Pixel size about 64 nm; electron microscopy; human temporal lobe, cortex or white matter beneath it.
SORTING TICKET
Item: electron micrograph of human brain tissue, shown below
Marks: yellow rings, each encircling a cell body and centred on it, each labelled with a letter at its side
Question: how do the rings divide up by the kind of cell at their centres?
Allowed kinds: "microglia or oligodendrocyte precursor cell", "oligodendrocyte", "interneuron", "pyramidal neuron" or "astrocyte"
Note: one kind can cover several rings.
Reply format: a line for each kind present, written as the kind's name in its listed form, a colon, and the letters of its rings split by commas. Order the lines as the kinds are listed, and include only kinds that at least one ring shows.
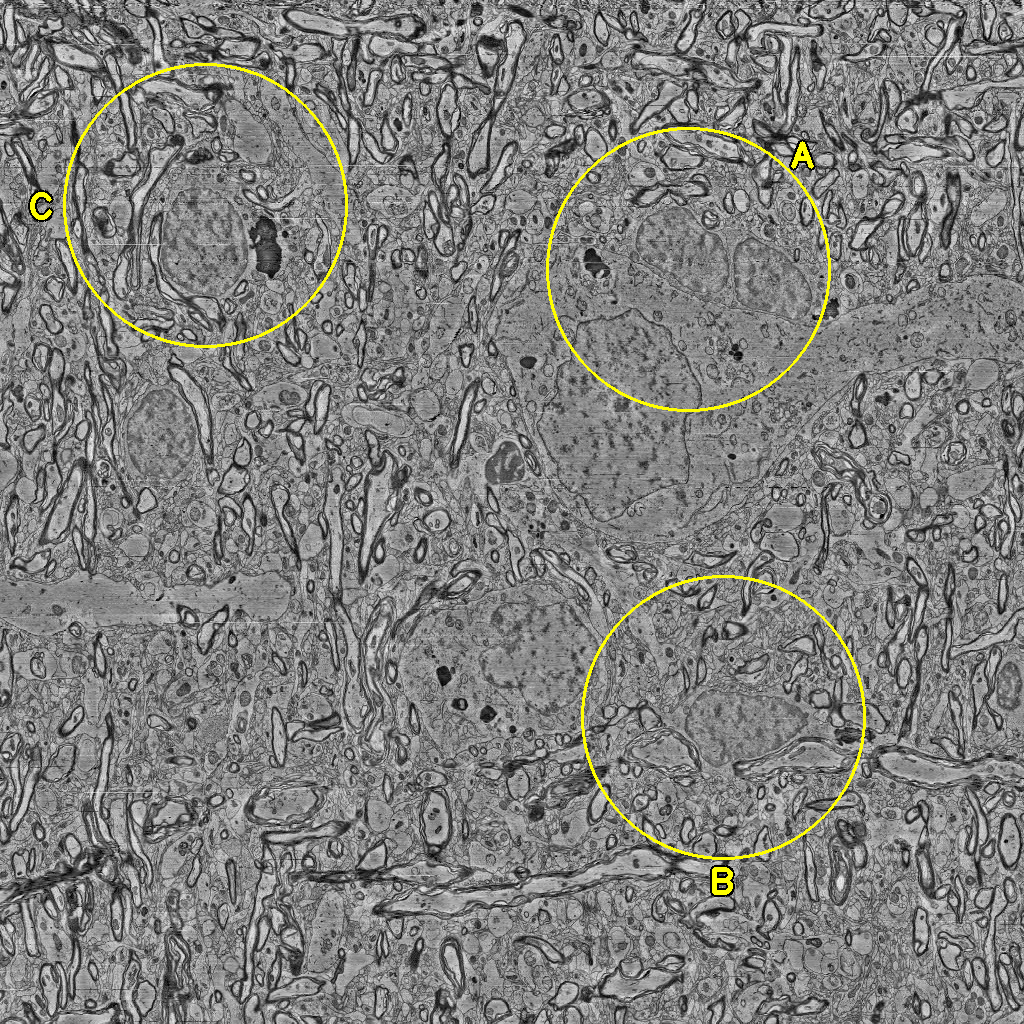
oligodendrocyte: A, B, C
